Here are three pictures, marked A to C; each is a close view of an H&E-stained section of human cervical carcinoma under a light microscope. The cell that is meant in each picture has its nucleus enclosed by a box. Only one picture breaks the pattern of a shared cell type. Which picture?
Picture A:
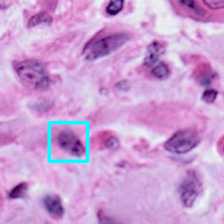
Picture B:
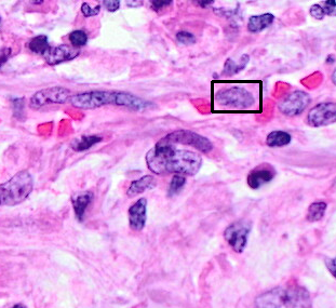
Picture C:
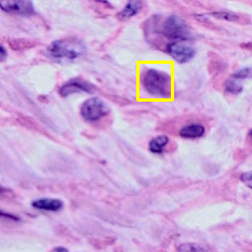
B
